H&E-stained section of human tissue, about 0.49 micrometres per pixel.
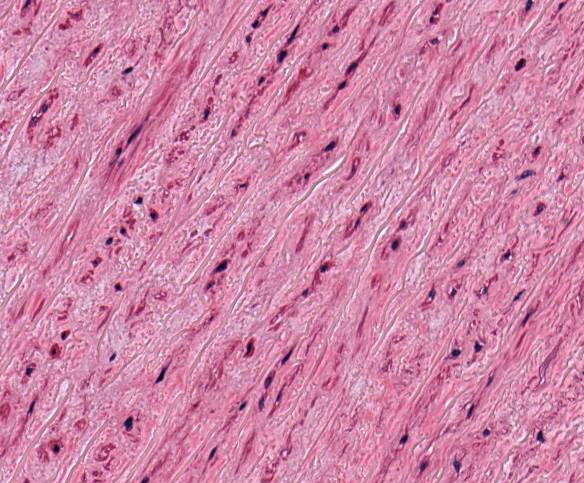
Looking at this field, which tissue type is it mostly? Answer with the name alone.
tunica media of an artery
